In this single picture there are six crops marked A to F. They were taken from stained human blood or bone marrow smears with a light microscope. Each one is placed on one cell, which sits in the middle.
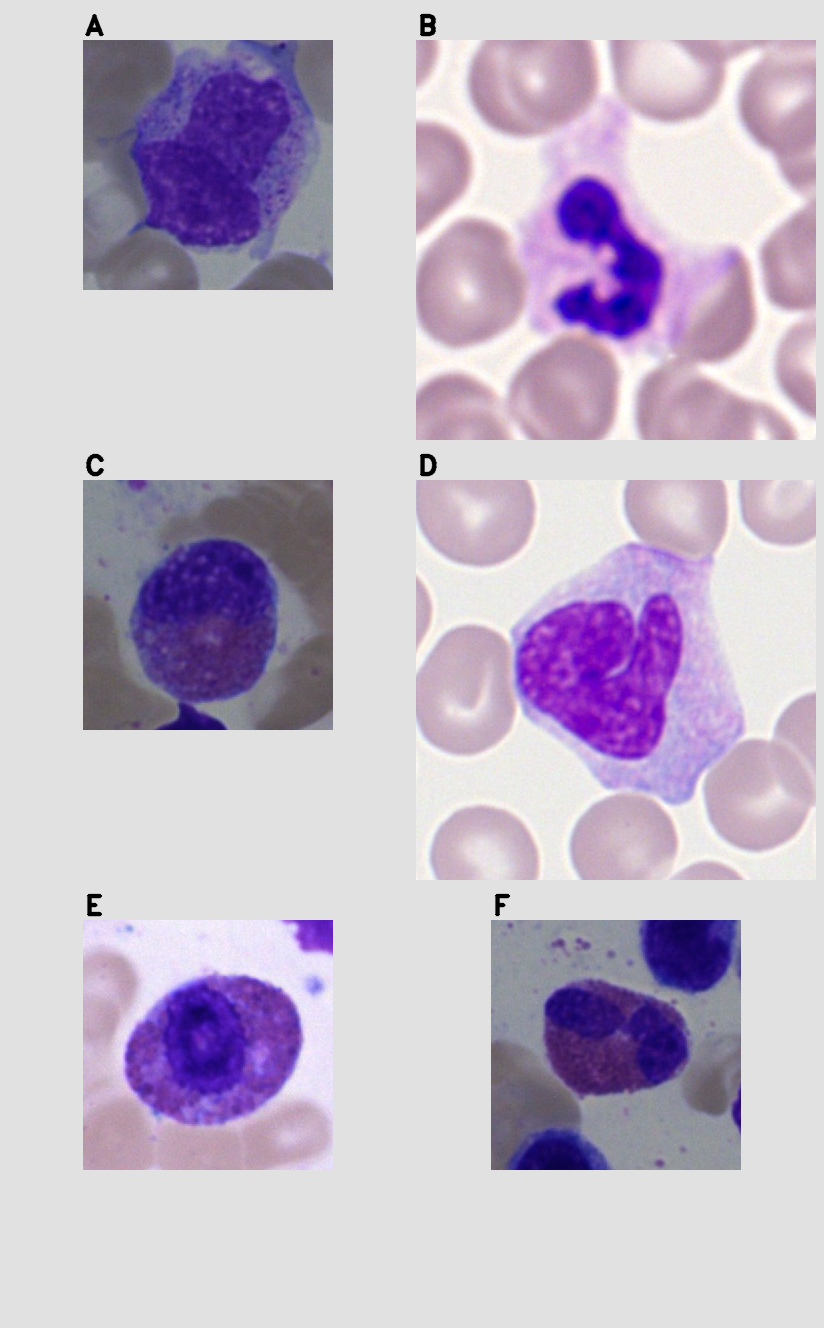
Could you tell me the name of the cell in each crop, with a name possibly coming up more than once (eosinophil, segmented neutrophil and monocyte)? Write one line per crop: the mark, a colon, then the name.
A: monocyte
B: segmented neutrophil
C: eosinophil
D: monocyte
E: eosinophil
F: eosinophil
